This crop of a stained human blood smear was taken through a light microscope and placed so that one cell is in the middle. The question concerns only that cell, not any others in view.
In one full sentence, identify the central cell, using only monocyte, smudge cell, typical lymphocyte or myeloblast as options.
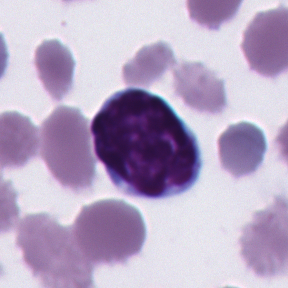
In the center of this field lies a typical lymphocyte.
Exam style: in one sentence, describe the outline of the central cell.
The border of this cell runs smooth and free of any projections.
